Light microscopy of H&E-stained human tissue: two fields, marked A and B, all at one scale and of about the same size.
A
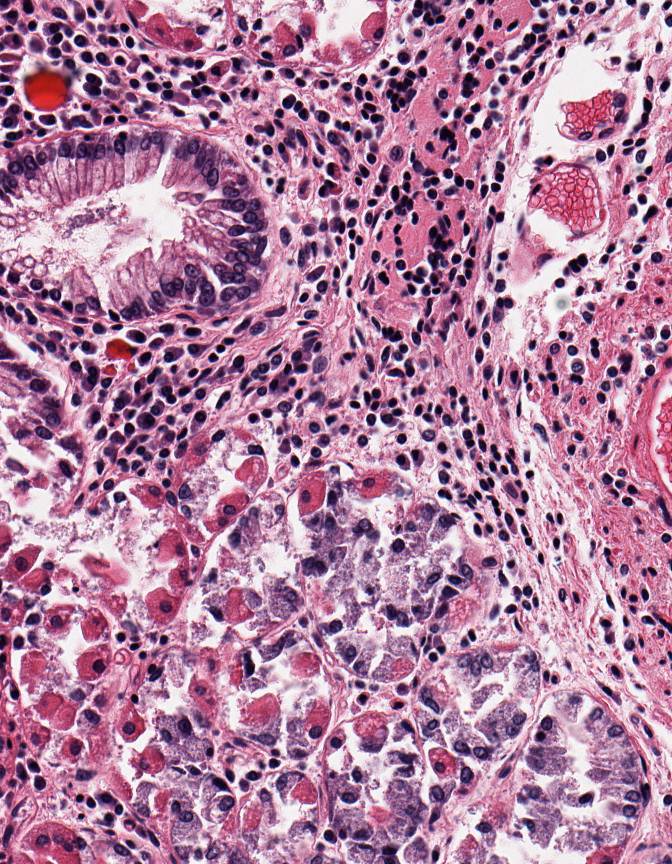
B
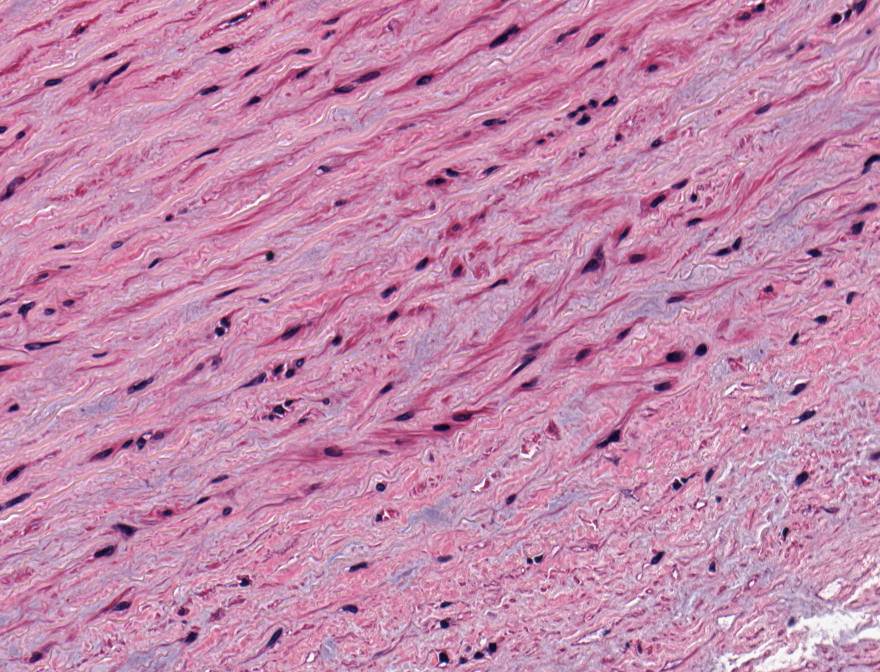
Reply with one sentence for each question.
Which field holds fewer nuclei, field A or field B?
Field B holds fewer nuclei than field A.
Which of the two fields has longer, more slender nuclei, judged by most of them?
The nuclei are more elongated in field B.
